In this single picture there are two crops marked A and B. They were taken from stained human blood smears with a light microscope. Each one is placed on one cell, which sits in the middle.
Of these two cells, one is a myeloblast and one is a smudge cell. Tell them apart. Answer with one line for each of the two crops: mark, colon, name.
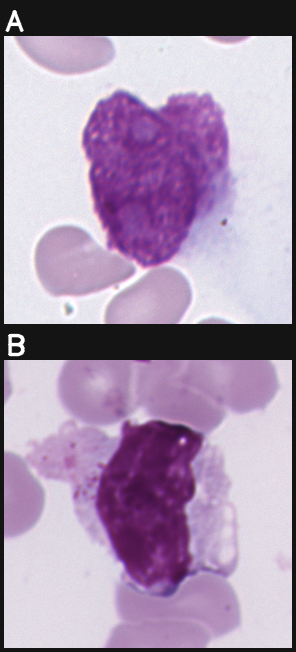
A: smudge cell
B: myeloblast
